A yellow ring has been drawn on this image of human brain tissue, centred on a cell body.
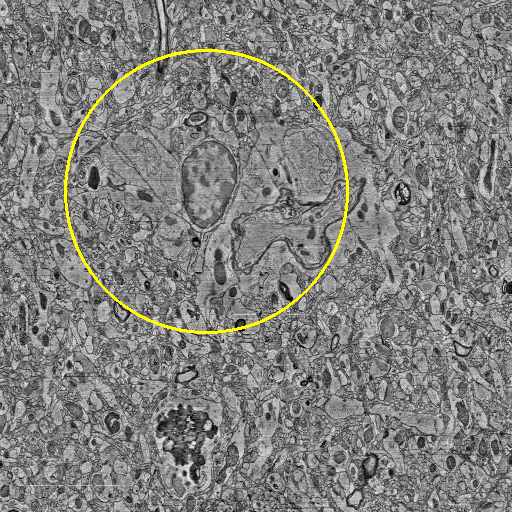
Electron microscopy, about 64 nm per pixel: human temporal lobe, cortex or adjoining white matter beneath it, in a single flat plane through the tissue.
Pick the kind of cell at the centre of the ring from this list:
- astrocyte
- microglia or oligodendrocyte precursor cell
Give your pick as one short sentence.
The centre of the ring holds a microglial cell or oligodendrocyte precursor cell.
